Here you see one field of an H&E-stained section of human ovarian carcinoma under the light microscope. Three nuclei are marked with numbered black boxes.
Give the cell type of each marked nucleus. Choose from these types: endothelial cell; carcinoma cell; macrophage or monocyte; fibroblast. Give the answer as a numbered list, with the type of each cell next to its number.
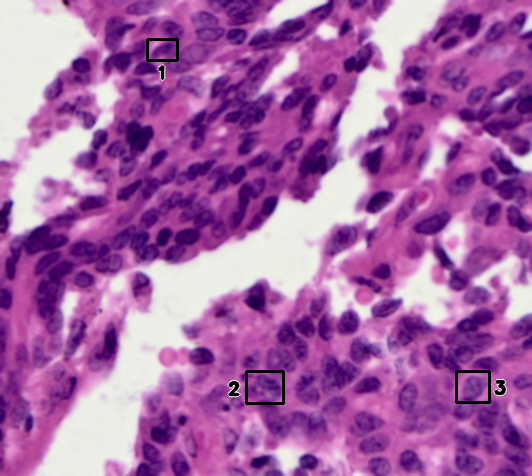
1. carcinoma cell
2. macrophage or monocyte
3. macrophage or monocyte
